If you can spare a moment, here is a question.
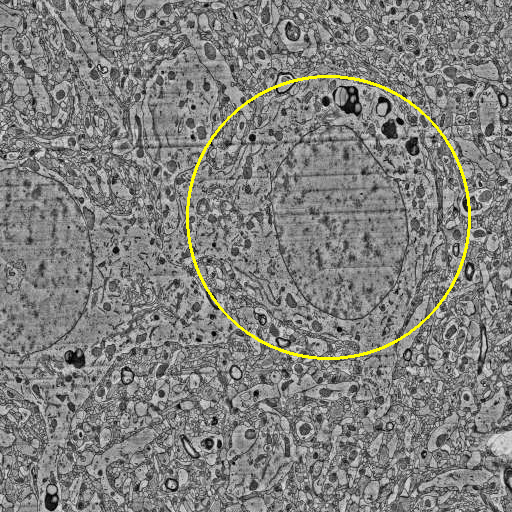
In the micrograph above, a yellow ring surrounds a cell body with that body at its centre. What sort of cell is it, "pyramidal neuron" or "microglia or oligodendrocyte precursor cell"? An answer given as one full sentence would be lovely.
Centred inside the yellow ring, the cell body shown belongs to a pyramidal neuron in this micrograph.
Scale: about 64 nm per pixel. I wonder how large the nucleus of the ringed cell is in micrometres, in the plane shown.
The nucleus works out at approximately 12 by 9 micrometres in this plane.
